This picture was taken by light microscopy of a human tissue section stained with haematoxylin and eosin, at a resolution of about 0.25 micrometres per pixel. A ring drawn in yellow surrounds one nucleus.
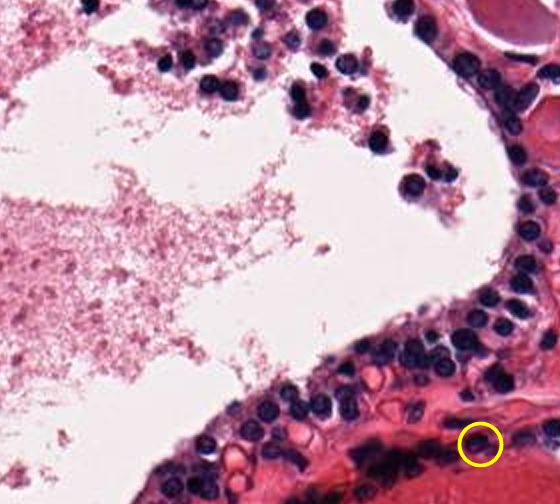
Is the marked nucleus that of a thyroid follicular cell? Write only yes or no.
yes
